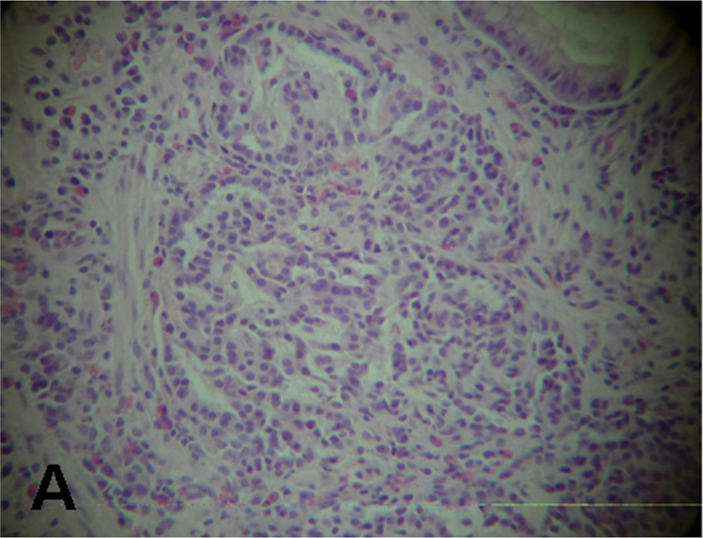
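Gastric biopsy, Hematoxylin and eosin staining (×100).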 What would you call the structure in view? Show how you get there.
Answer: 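Cells are arranged in anastomosing cords and ribbons. The cords are separated by thin strands of pale stroma. The cells are small with round to oval dark nuclei.
Answer: trabecular structures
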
